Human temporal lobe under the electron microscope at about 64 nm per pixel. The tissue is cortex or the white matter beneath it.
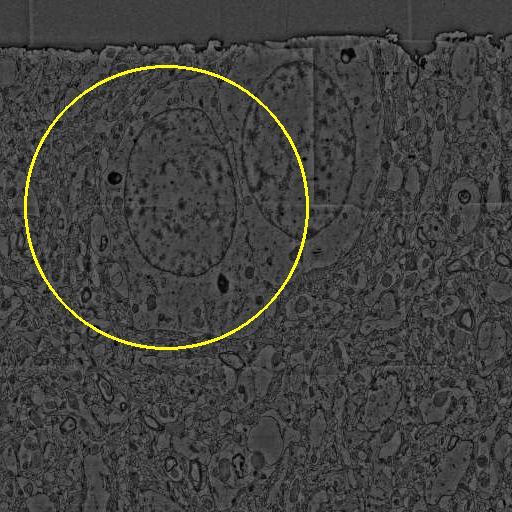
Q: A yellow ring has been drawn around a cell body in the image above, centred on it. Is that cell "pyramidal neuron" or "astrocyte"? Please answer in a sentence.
The ring surrounds the cell body of a pyramidal neuron.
